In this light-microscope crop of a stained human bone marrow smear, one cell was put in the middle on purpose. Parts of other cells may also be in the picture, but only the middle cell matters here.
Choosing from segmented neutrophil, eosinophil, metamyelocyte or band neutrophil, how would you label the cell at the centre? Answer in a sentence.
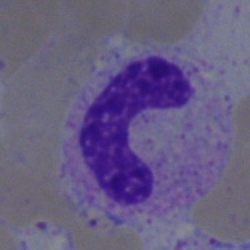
The cell in the middle of the field of view is a band neutrophil.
